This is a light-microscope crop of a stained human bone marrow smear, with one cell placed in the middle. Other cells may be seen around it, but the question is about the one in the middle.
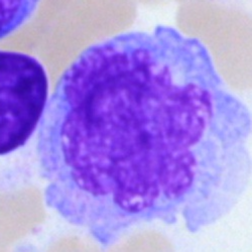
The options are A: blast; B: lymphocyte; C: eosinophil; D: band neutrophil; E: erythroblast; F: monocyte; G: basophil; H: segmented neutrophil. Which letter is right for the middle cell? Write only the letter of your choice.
F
